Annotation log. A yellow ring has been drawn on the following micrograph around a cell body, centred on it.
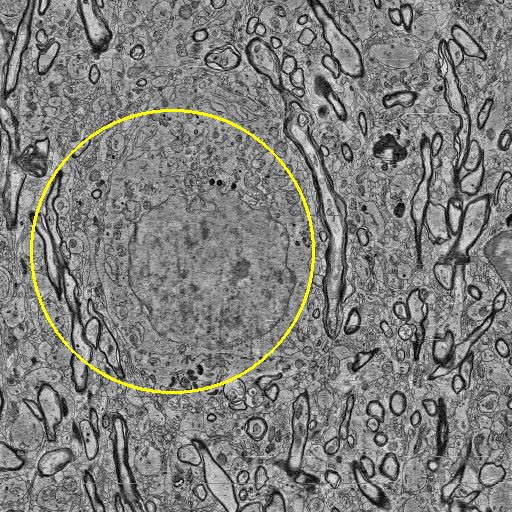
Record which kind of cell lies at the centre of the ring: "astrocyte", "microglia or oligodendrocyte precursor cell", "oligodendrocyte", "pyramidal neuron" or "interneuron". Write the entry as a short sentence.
The cell the ring is centred on is an interneuron.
